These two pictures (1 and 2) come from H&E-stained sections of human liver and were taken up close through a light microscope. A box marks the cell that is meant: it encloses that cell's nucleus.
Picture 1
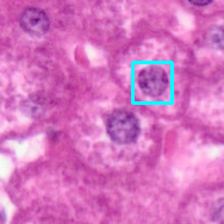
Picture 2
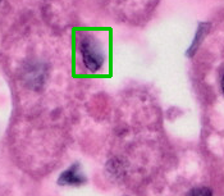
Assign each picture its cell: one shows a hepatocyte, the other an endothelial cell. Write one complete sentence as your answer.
It is picture 1 that shows a hepatocyte, and picture 2 that shows an endothelial cell.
